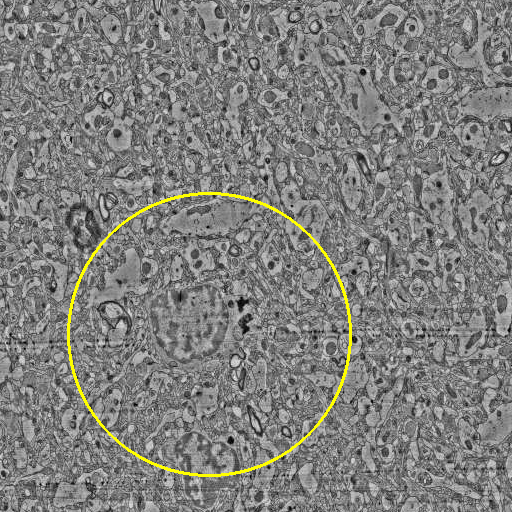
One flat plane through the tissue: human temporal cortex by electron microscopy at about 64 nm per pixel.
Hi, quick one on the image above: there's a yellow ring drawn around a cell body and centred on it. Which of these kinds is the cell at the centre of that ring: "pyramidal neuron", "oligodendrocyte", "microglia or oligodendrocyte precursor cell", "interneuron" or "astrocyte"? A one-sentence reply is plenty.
The cell at the centre of the ring is an oligodendrocyte.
